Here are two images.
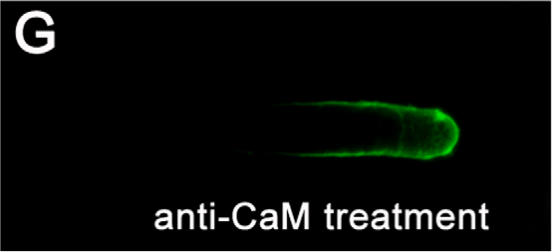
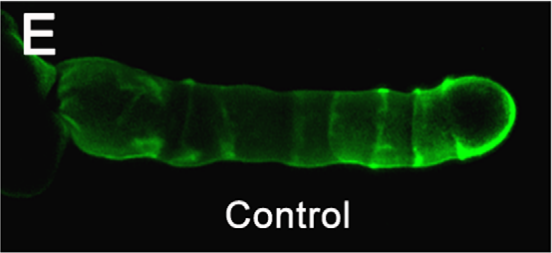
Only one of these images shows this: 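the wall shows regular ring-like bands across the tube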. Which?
The second image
